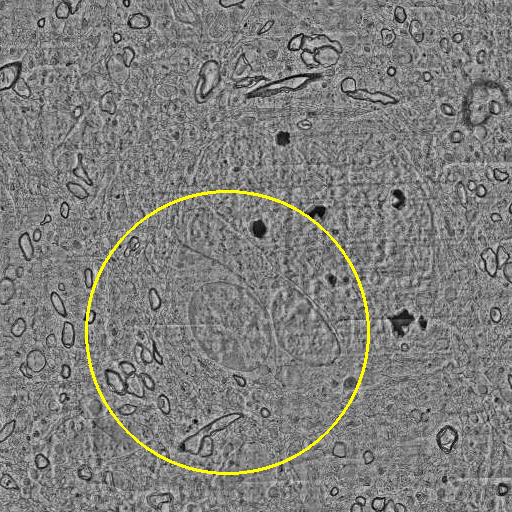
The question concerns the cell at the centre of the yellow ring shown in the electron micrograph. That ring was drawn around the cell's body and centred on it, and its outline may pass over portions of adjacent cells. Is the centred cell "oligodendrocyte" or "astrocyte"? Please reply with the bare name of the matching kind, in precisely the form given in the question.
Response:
oligodendrocyte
